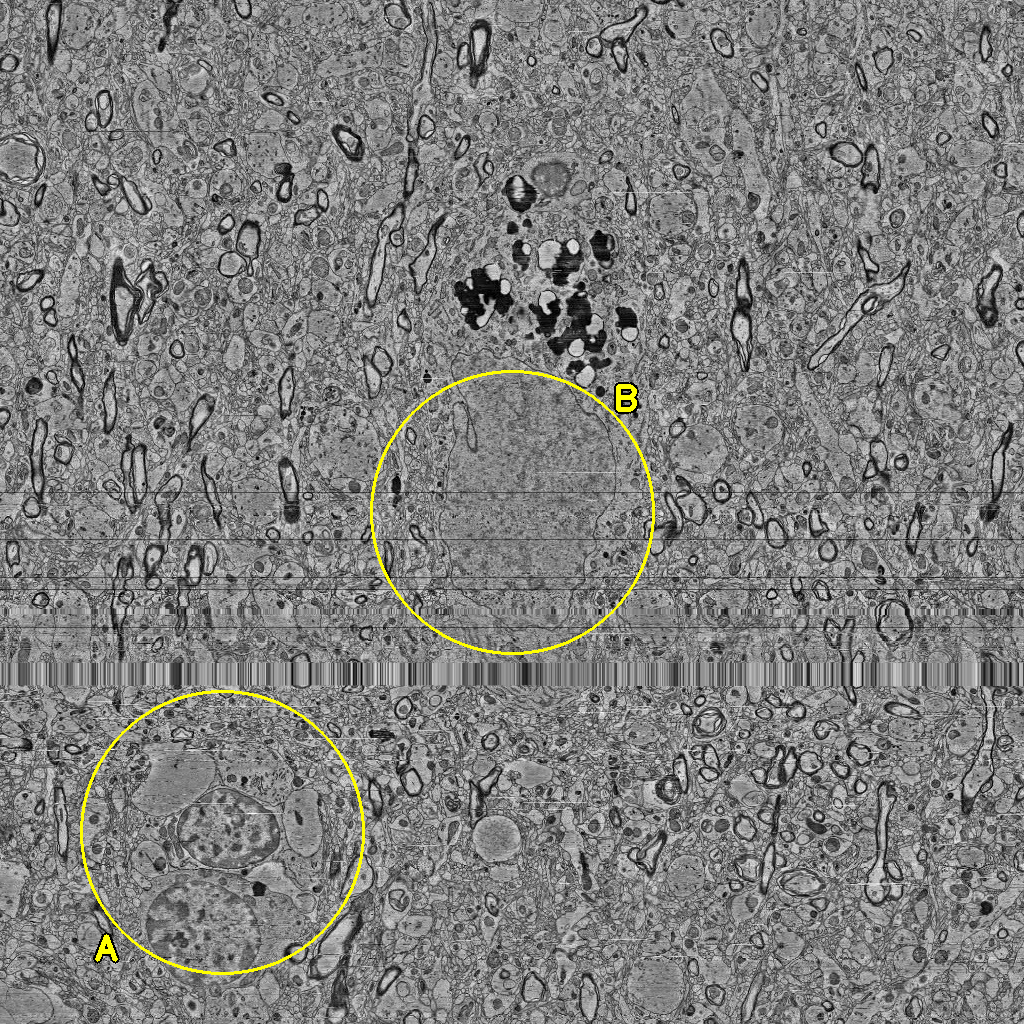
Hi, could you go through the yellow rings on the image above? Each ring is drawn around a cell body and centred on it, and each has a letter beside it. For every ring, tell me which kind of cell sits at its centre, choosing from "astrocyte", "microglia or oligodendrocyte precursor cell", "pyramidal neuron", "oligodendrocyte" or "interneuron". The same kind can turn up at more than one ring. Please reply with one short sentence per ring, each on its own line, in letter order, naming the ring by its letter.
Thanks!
Ring A is centred on a microglial cell or oligodendrocyte precursor cell.
Ring B is centred on a pyramidal neuron.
